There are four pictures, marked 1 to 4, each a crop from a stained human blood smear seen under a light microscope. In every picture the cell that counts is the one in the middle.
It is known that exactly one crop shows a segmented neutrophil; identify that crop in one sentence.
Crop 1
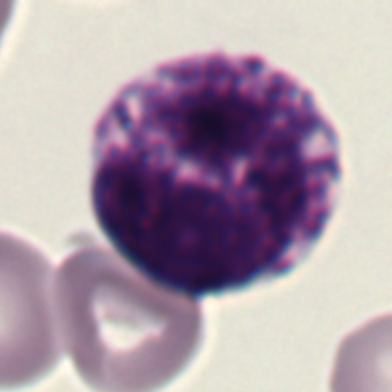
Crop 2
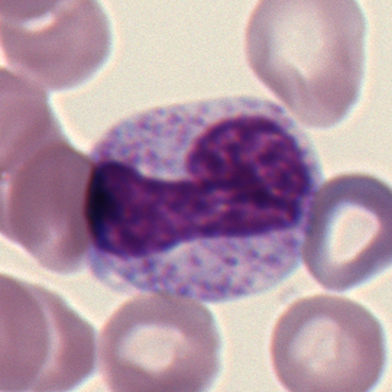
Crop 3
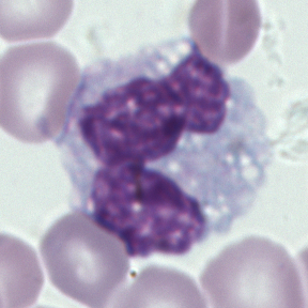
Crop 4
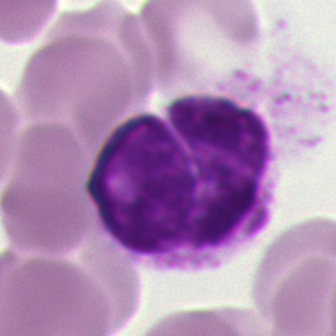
The crop that has a segmented neutrophil in the middle is crop 4.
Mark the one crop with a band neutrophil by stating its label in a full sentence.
It is crop 2, not any other, that shows a band neutrophil.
